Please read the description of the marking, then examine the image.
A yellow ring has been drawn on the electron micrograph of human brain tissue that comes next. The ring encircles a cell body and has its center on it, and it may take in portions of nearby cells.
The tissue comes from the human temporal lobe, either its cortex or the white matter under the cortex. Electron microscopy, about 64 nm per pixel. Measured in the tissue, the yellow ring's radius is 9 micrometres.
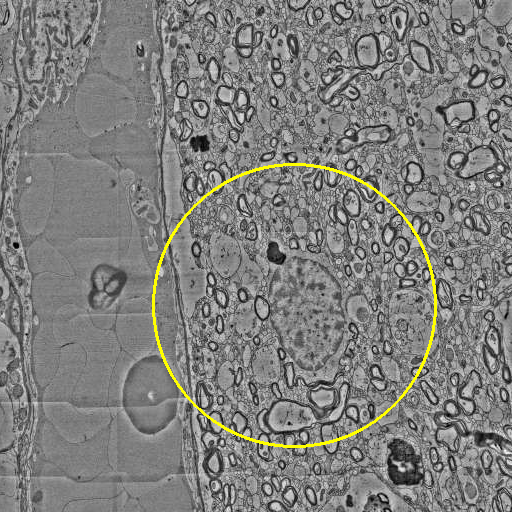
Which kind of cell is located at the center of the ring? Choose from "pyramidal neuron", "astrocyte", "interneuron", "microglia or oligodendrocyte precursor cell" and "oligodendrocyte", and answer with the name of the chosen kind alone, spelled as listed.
oligodendrocyte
